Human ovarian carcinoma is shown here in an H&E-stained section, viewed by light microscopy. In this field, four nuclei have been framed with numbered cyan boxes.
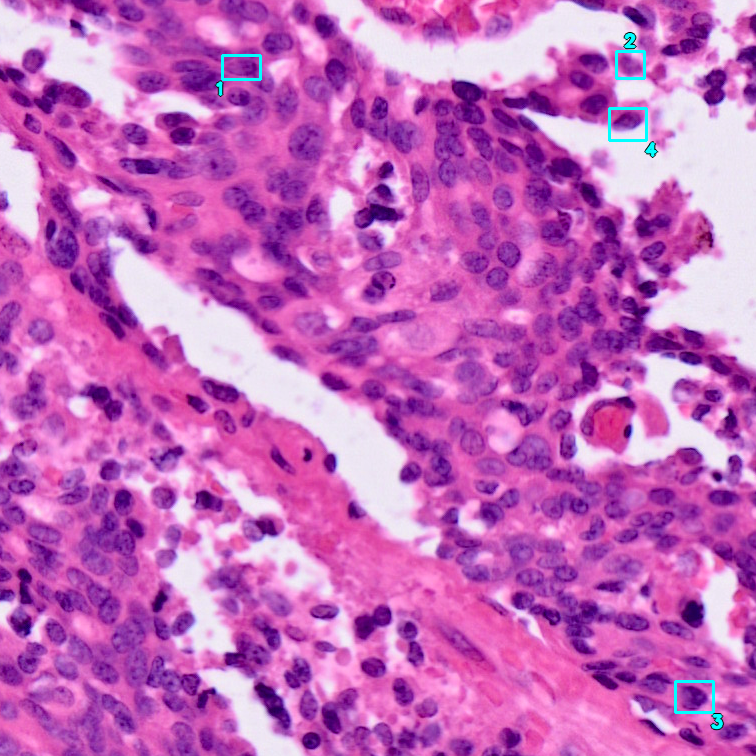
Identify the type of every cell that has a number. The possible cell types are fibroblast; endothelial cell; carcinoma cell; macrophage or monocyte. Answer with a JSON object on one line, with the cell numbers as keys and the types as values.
{"1": "carcinoma cell", "2": "carcinoma cell", "3": "macrophage or monocyte", "4": "carcinoma cell"}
